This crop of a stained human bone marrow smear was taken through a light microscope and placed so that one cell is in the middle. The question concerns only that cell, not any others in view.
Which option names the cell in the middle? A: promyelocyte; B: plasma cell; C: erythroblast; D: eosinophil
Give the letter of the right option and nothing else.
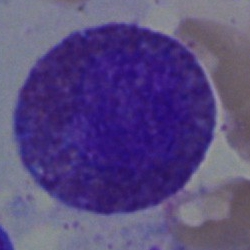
D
